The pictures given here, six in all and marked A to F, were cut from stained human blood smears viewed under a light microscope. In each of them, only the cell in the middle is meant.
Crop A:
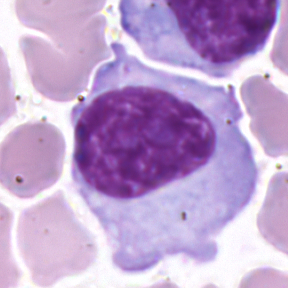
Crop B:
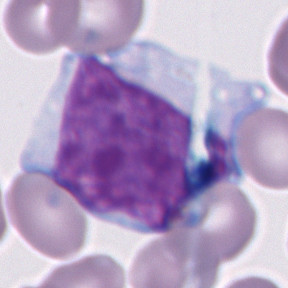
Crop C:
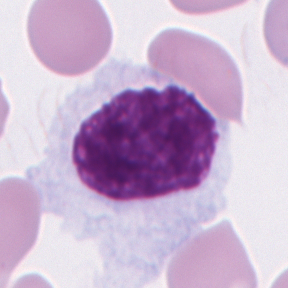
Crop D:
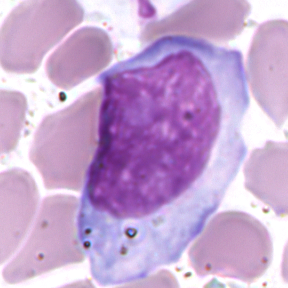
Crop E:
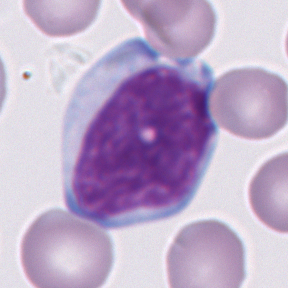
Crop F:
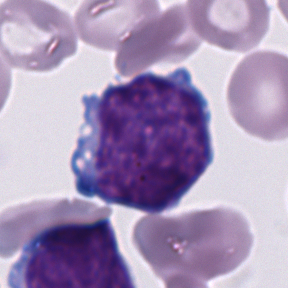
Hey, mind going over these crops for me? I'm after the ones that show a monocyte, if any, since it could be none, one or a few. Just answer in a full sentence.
These crops, one and all, fail to show a monocyte.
